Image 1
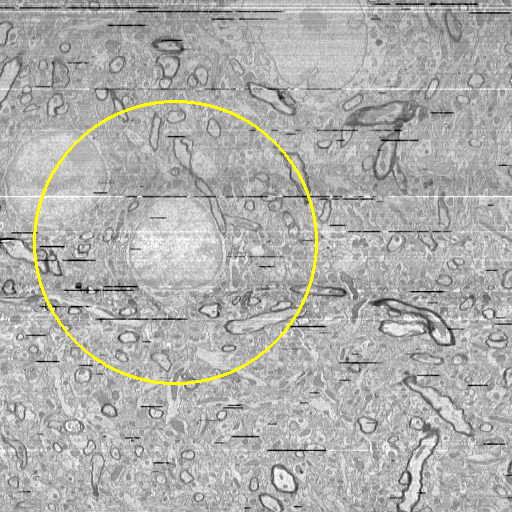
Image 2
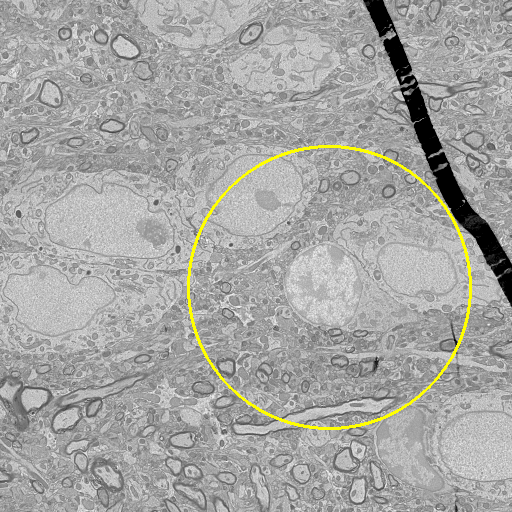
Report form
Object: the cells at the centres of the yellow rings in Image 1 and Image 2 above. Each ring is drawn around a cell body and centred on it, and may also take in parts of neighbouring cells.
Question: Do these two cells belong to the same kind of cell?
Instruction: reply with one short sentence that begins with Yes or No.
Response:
Yes, both belong to the same kind of cell.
